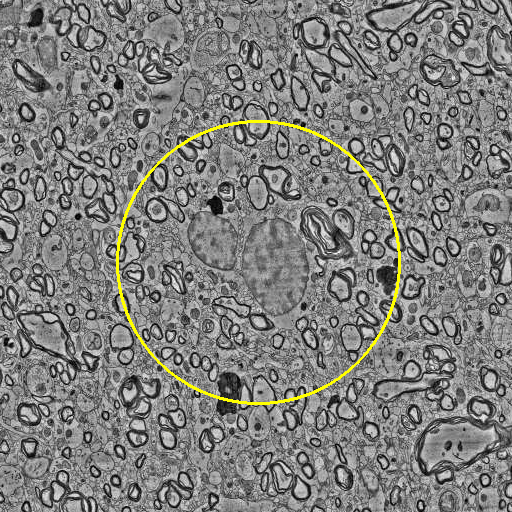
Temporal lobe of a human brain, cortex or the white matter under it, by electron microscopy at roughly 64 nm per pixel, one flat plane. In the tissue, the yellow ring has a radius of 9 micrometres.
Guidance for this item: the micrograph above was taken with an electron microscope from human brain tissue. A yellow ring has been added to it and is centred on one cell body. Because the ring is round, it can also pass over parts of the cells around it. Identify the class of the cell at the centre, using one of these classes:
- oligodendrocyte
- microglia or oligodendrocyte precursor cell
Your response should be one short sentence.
The ring surrounds the body of an oligodendrocyte.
